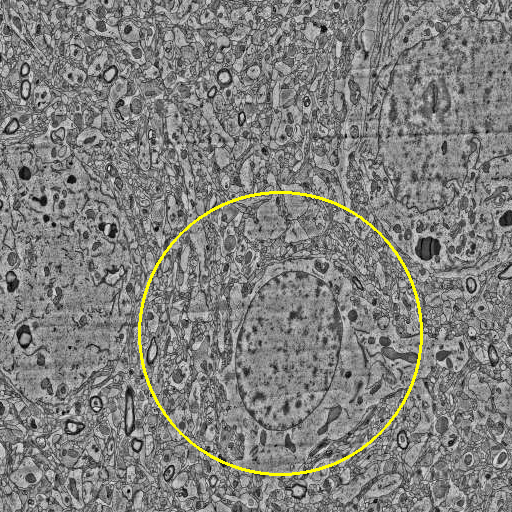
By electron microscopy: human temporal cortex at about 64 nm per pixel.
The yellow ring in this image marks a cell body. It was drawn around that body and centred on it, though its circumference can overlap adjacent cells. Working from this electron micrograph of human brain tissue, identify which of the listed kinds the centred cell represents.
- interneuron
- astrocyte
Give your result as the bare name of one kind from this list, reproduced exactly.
astrocyte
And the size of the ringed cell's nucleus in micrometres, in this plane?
Roughly 10 micrometres long and 7 micrometres wide; in this plane the nucleus is clearly longer than it is wide.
